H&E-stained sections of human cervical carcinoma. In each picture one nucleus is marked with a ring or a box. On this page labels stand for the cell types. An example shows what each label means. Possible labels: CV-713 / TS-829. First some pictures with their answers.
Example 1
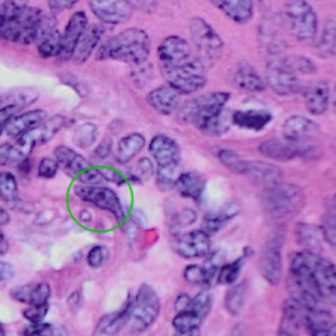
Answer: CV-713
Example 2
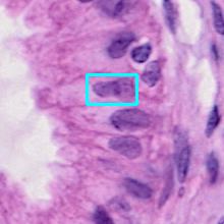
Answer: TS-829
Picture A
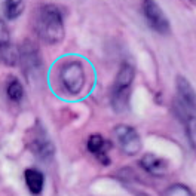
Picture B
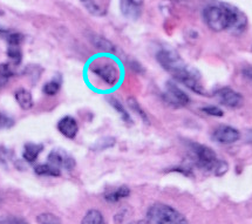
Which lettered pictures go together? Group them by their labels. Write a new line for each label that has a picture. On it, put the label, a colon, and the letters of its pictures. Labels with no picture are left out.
CV-713: A, B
